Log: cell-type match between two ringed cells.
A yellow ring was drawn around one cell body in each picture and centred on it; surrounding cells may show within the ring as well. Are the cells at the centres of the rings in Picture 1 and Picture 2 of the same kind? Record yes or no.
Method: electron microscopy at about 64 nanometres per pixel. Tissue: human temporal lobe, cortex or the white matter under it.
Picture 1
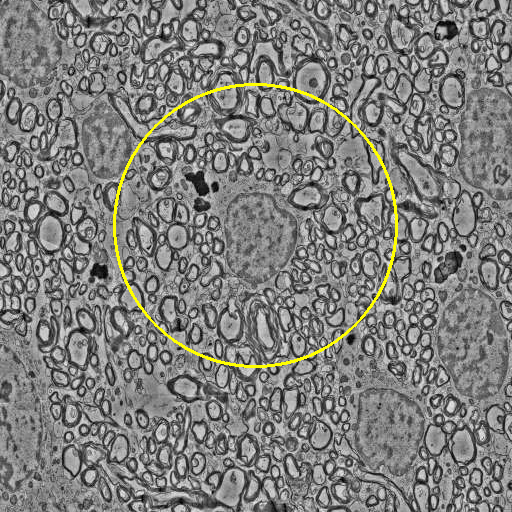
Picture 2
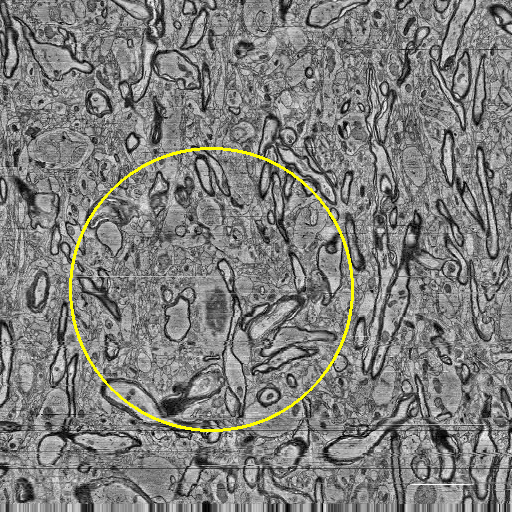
yes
